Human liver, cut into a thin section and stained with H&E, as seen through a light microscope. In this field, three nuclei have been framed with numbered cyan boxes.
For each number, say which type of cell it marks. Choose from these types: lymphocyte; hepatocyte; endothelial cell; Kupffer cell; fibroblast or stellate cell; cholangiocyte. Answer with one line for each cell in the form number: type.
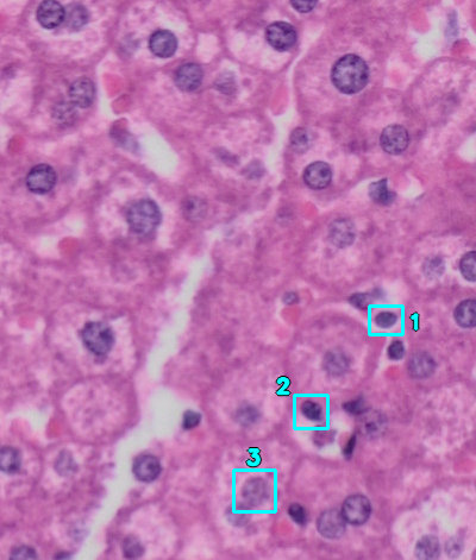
1: lymphocyte
2: lymphocyte
3: hepatocyte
